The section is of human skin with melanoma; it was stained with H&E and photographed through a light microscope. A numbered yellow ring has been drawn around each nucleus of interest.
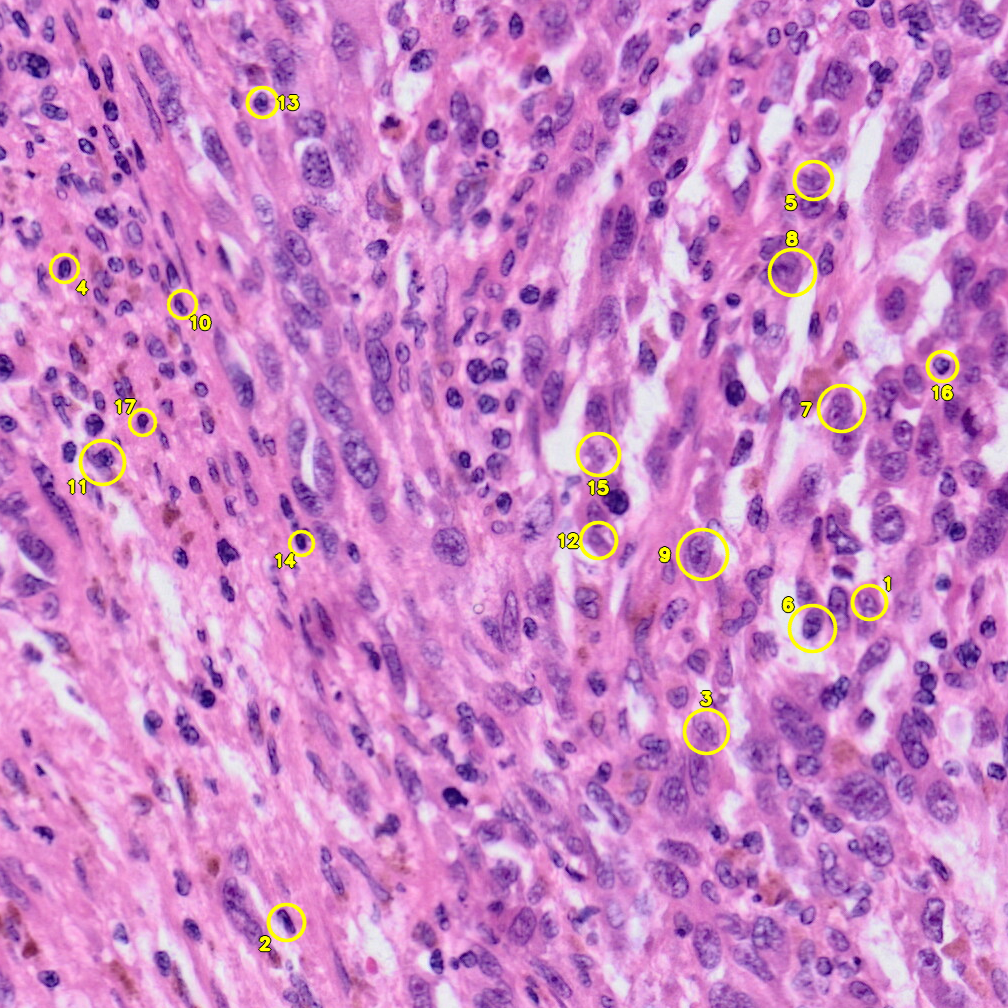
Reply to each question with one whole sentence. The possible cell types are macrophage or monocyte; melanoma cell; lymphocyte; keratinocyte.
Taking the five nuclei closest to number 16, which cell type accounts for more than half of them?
Melanoma cells account for more than half of the five nuclei nearest to number 16.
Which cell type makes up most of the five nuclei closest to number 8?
Of the five nuclei nearest to number 8, most belong to macrophages or monocytes.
